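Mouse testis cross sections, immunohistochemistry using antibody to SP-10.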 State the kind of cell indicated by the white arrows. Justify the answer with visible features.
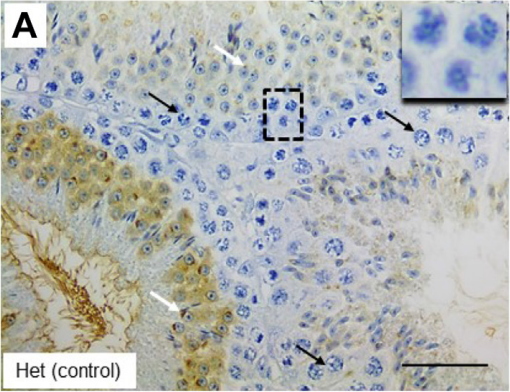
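Round spermatids. The arrowed cells are small round cells with round central nuclei. They lie in layers toward the lumen of the tubule. Their cytoplasm is stained brown.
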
